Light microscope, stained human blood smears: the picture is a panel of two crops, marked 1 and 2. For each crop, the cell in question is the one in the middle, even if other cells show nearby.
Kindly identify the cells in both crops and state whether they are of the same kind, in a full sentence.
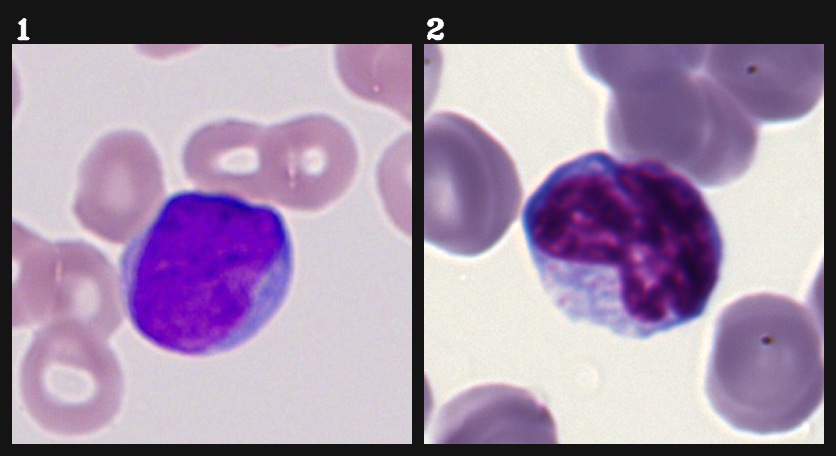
No, the assignment should read crop 1, a blast; crop 2, a lymphocyte.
